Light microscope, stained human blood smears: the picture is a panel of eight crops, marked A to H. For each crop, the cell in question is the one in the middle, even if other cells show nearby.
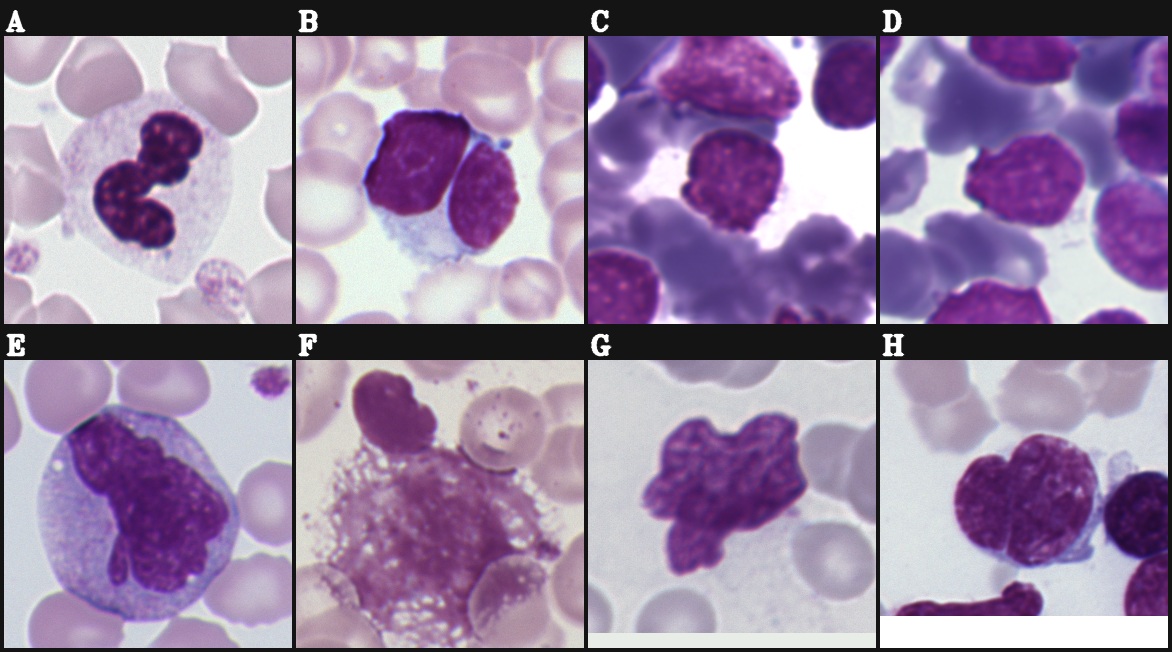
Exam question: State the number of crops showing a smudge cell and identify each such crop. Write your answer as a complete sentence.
Present in four crops, C, D, F and G, are smudge cells.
